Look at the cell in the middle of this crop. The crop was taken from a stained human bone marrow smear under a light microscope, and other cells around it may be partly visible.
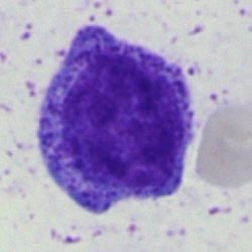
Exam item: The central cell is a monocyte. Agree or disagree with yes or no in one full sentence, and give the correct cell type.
No, the central cell is not to be called a monocyte, being a promyelocyte.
